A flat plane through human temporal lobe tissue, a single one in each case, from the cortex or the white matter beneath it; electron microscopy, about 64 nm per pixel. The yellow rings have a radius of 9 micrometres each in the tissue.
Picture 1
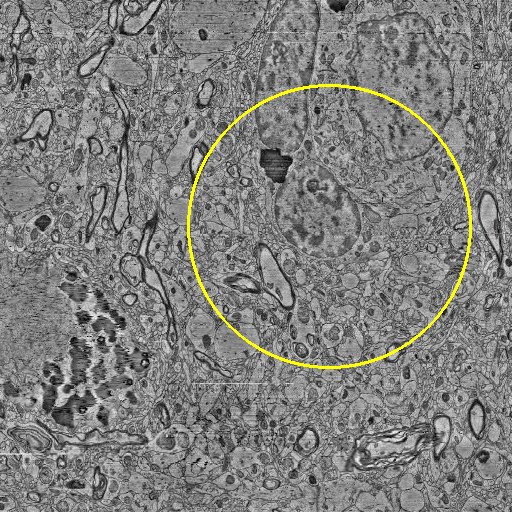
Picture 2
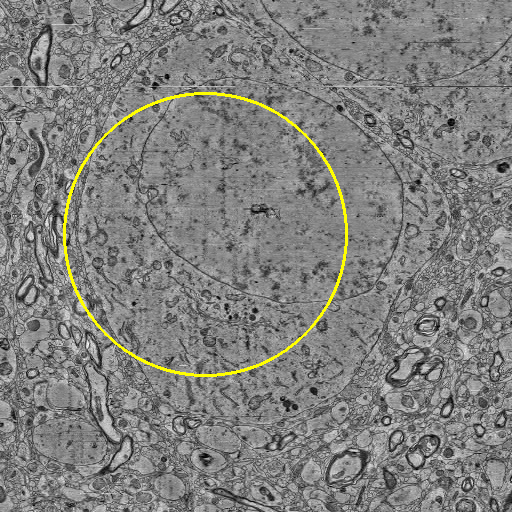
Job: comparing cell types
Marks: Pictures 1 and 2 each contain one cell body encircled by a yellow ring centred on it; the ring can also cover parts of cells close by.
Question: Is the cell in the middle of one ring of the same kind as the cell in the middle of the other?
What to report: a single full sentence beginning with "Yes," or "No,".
No, the cell at the ring centre in Picture 1 and its partner in Picture 2 are of two kinds.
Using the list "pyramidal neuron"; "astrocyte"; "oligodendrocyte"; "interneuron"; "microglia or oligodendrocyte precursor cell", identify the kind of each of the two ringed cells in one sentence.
The first is an oligodendrocyte and the second is a pyramidal neuron.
